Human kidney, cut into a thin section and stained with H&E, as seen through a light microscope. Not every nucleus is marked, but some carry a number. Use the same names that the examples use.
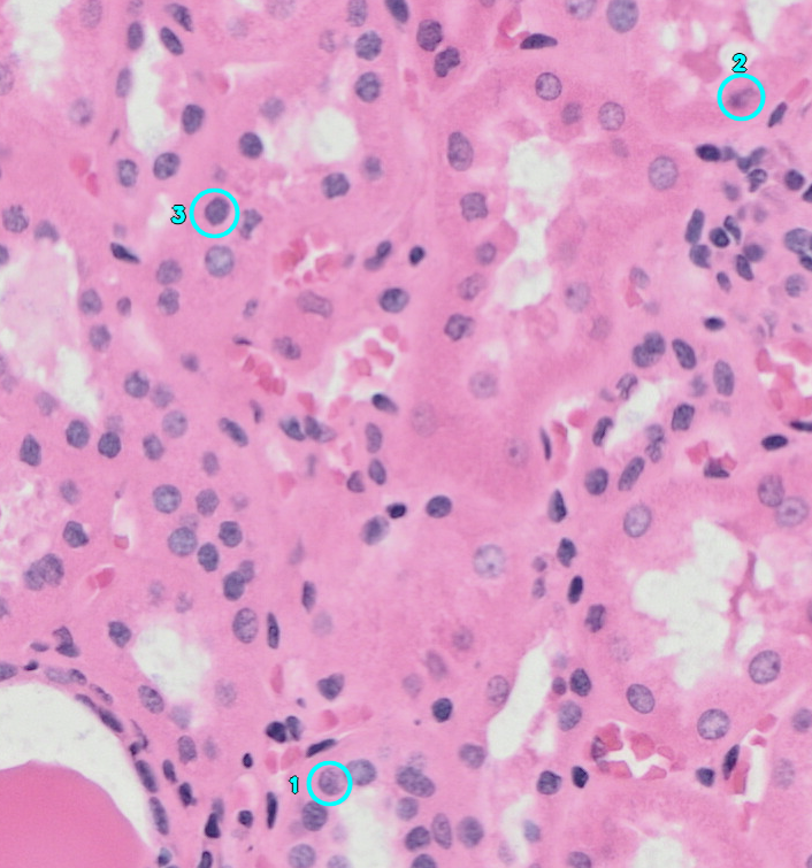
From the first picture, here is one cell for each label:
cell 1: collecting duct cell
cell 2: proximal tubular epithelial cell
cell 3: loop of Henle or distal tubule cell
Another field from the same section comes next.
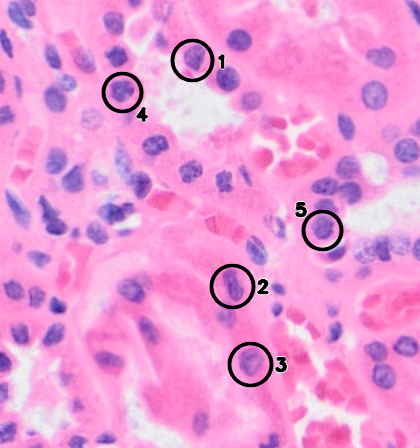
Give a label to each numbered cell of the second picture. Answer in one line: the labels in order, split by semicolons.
loop of Henle or distal tubule cell; proximal tubular epithelial cell; proximal tubular epithelial cell; loop of Henle or distal tubule cell; collecting duct cell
